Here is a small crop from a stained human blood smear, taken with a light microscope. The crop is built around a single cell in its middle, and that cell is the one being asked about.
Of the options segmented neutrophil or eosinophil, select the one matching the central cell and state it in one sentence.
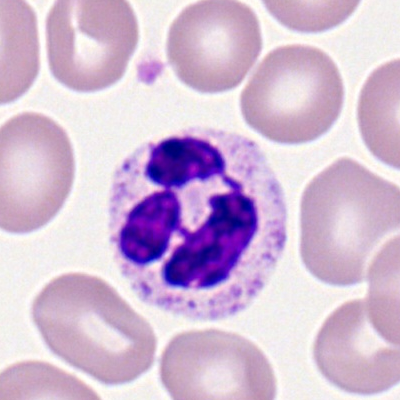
The crop centres on a single cell, and that cell is a segmented neutrophil.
